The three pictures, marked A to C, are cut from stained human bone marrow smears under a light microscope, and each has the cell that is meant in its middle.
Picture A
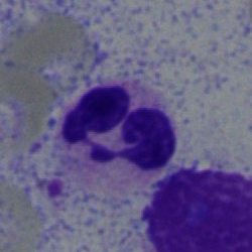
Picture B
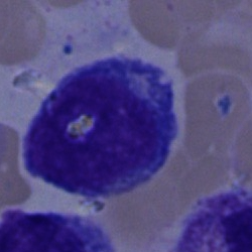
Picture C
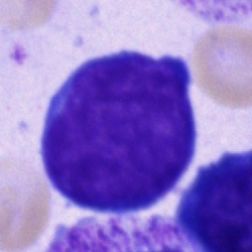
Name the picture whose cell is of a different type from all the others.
A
